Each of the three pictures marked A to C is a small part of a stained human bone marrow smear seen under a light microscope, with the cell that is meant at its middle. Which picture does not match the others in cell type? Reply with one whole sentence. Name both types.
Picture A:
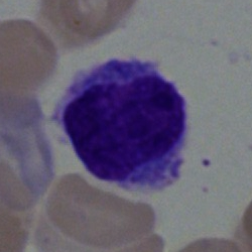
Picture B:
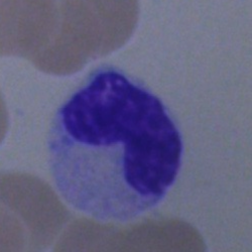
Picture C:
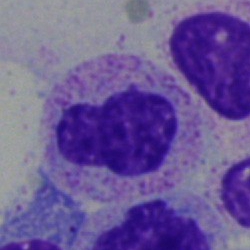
The others show metamyelocytes, but picture A shows a monocyte.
